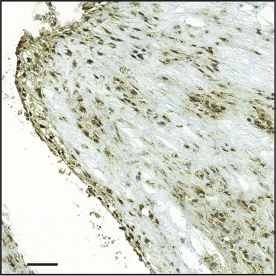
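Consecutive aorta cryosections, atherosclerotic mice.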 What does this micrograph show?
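The same arterial plaque region shows brown staining over many cells, strongest in a band along the luminal surface. Within the lesion, numerous elongated and rounded nuclei carry brown staining, scattered through a pale fibrous-looking matrix.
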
